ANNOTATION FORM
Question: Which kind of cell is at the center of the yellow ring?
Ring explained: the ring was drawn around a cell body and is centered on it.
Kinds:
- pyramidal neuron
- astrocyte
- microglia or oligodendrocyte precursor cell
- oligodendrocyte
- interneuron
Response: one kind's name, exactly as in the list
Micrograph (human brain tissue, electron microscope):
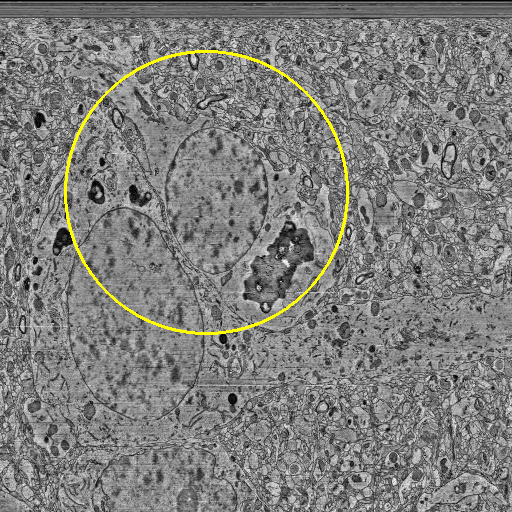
astrocyte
